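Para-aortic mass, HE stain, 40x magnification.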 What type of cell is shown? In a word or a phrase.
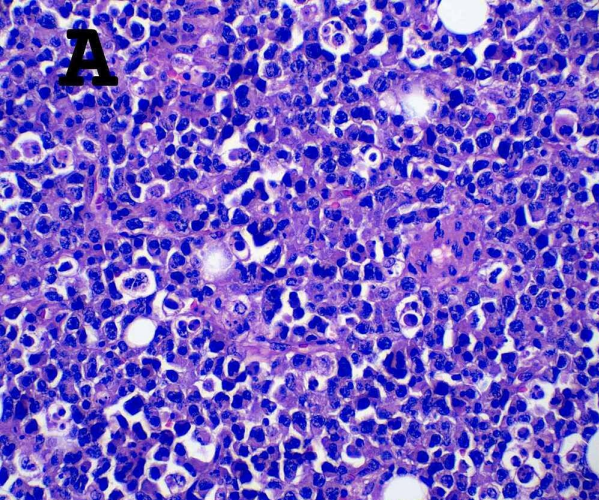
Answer: neoplastic plasma cells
